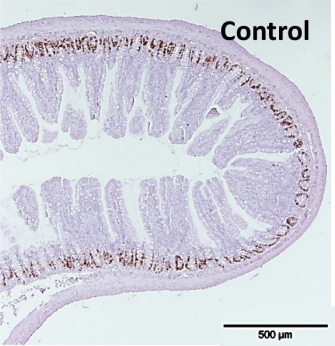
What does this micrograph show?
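A cross-section of small intestine wall curving around a central lumen. Finger-like villi, counterstained pale purple, project inward toward the lumen from the mucosa. At the base of the mucosa, next to a thin pink outer muscular wall, a continuous band of crypts carries numerous dark brown-stained nuclei, packed closely side by side. Above this band the villus epithelium and cores show few or no brown nuclei.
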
